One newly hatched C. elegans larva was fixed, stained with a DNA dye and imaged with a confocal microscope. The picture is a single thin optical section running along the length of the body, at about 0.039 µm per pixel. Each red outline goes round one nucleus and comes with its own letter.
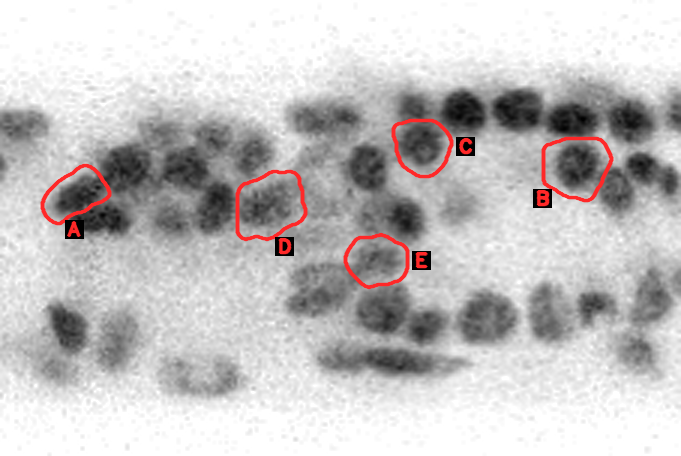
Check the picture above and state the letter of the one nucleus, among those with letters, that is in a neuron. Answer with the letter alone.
C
